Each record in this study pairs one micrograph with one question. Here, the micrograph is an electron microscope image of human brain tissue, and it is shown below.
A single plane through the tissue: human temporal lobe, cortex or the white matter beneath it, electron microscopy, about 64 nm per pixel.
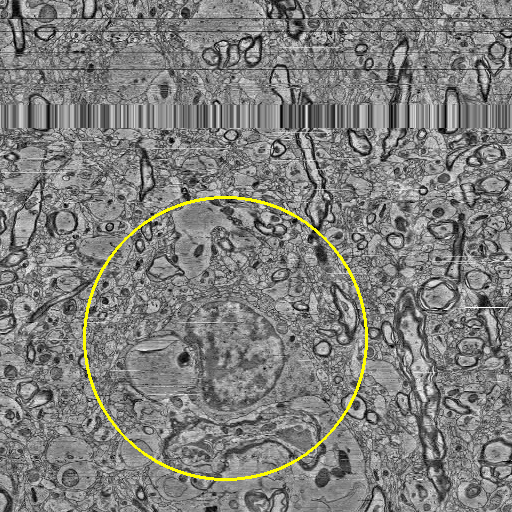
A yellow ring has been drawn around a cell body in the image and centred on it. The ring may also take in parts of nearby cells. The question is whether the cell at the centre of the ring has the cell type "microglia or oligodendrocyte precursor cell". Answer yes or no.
no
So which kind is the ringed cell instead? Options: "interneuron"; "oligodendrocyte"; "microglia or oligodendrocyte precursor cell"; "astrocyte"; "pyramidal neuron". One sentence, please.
Sitting at the ring centre is an oligodendrocyte.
